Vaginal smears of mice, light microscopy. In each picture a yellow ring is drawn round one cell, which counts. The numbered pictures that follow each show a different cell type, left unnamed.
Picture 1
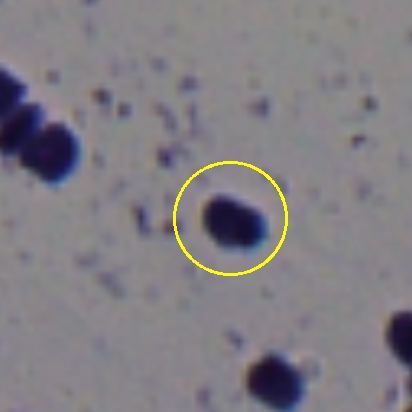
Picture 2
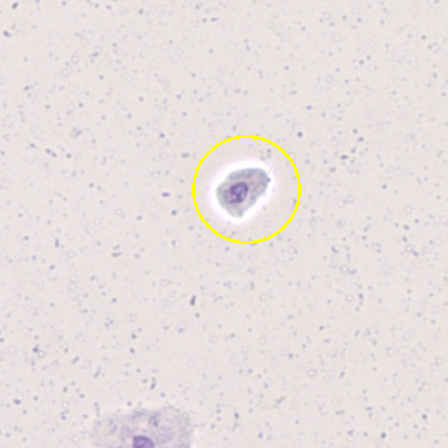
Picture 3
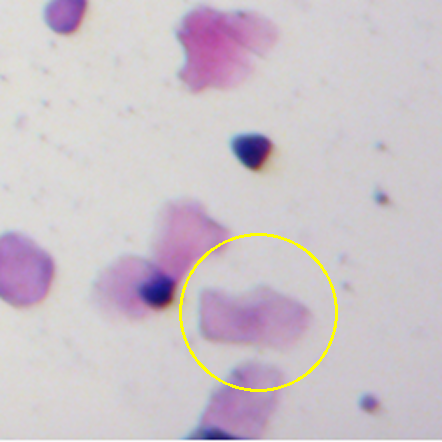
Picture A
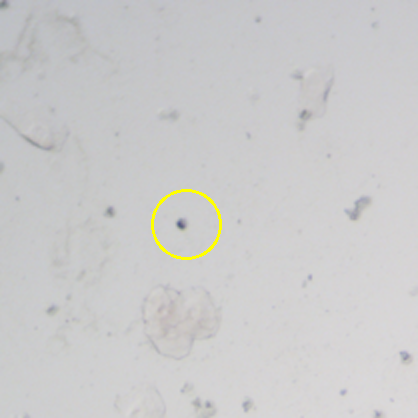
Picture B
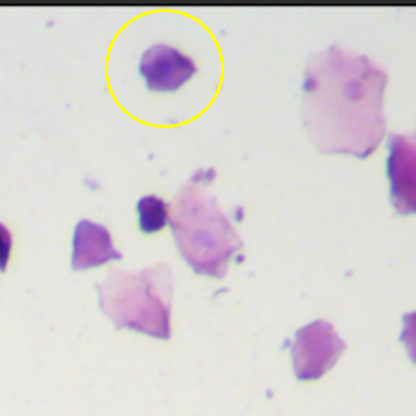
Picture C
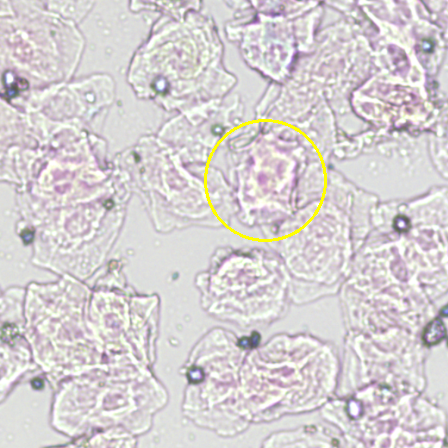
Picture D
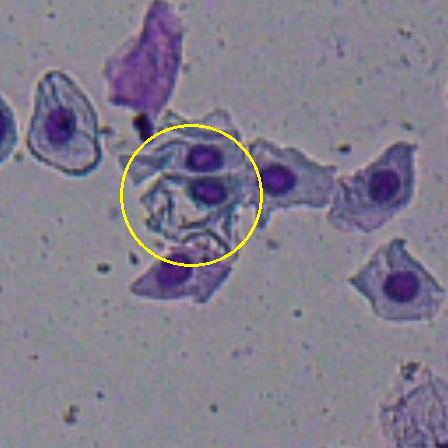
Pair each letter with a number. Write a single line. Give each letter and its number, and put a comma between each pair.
A 1, B 2, C 3, D 2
